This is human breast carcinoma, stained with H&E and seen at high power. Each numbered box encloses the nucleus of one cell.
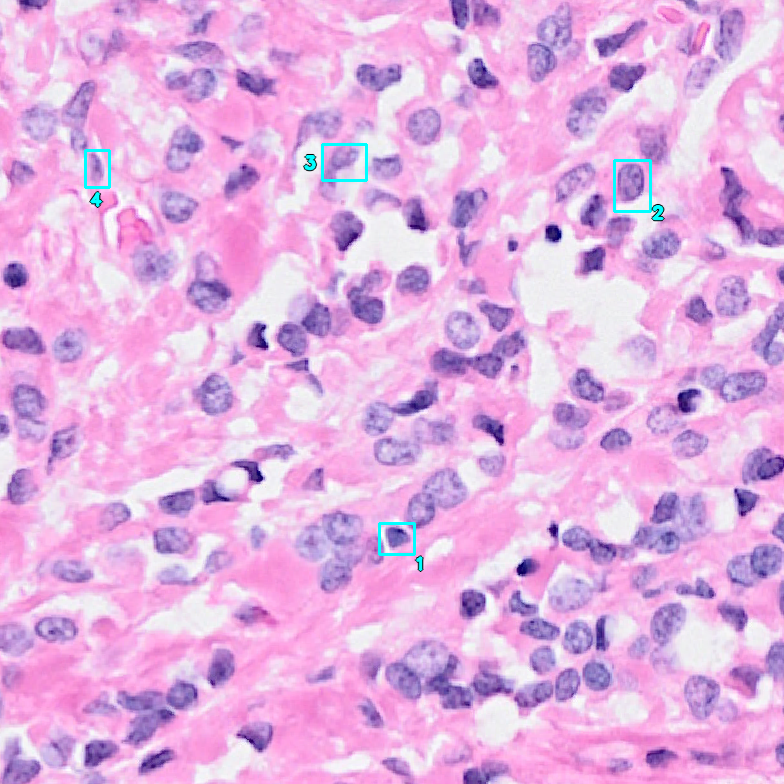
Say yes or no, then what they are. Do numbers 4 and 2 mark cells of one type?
No, cell 4 is an endothelial cell, and cell 2 is a carcinoma cell.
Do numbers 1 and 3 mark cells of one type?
No, cell 1 is a lymphocyte; cell 3, by contrast, is a carcinoma cell.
